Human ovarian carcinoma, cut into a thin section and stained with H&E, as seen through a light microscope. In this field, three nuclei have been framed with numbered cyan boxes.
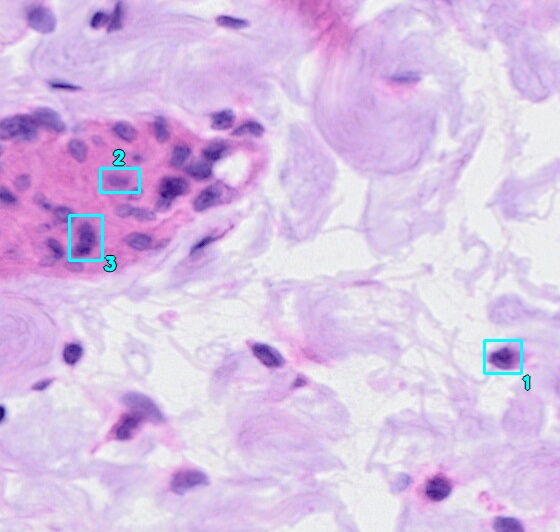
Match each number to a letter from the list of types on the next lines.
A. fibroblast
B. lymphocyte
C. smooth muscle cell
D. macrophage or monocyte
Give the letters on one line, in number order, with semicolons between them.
A; C; C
